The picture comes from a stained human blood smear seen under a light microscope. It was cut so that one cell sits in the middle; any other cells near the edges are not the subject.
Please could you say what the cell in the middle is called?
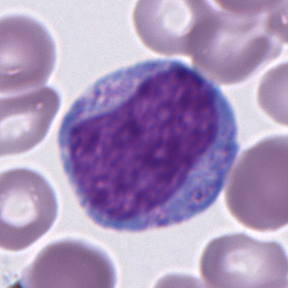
promyelocyte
